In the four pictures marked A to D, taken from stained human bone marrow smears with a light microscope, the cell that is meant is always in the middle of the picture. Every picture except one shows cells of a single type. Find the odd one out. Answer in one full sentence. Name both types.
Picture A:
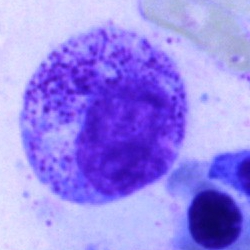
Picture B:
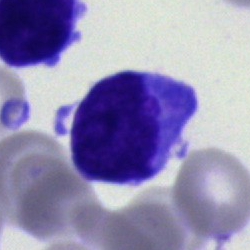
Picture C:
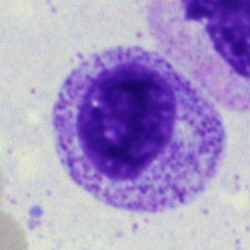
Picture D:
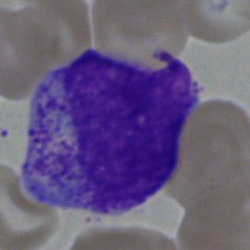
All pictures except B show myelocytes; picture B shows a blast.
